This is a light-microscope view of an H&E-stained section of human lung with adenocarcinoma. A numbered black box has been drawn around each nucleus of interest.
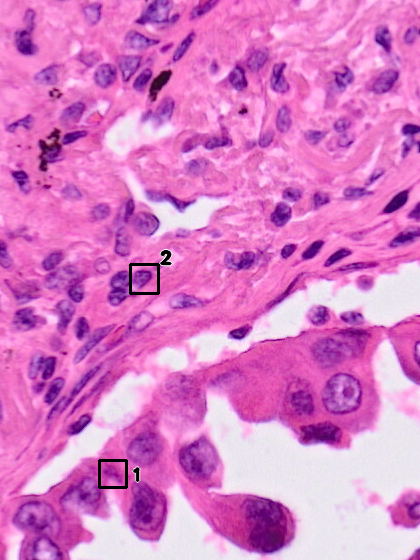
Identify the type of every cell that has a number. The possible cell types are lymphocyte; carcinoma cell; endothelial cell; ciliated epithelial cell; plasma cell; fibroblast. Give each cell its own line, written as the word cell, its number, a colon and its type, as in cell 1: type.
cell 1: carcinoma cell
cell 2: lymphocyte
